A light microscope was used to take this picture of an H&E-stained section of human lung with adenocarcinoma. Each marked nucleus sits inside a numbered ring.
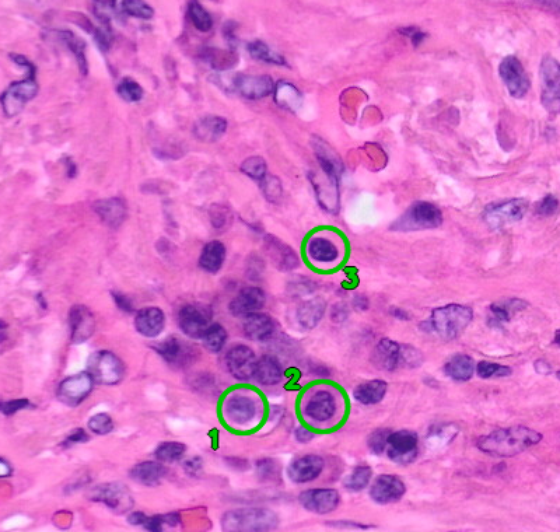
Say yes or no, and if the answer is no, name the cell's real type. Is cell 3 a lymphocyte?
Yes.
